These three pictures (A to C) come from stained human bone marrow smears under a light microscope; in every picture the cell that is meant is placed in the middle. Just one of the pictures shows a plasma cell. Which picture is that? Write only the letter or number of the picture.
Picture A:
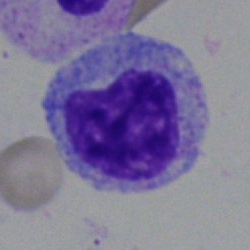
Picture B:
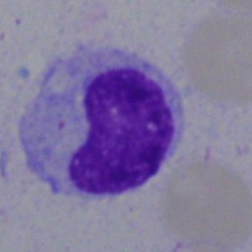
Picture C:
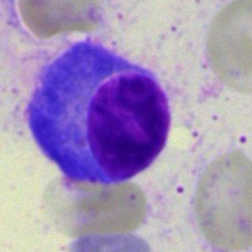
C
